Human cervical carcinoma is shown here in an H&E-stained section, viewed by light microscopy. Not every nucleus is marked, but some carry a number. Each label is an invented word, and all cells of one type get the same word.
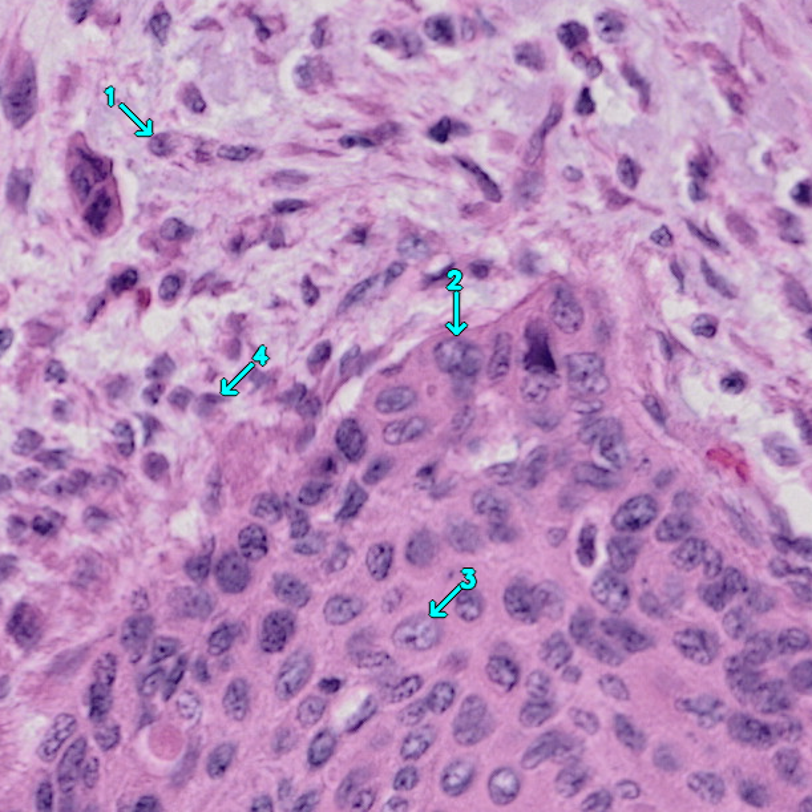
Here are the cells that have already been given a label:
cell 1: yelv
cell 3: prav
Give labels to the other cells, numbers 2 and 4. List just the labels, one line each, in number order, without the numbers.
prav
yelv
